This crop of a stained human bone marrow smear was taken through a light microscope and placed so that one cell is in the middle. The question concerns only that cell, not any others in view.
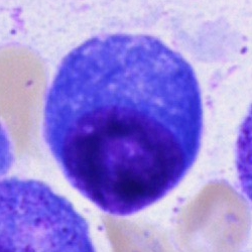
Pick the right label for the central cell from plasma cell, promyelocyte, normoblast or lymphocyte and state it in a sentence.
Whatever else lies nearby, the middle cell is a plasma cell.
